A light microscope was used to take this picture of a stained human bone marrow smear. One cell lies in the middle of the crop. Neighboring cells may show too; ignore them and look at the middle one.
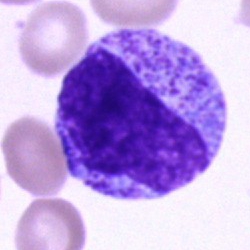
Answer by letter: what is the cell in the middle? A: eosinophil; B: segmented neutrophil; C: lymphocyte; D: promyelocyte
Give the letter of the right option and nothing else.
D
